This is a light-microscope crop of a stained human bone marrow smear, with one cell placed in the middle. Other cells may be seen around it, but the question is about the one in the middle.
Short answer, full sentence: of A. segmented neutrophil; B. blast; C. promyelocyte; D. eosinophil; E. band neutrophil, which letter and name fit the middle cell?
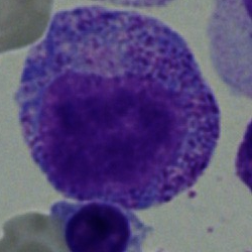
For this crop, option C is right, the centered cell being a promyelocyte.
